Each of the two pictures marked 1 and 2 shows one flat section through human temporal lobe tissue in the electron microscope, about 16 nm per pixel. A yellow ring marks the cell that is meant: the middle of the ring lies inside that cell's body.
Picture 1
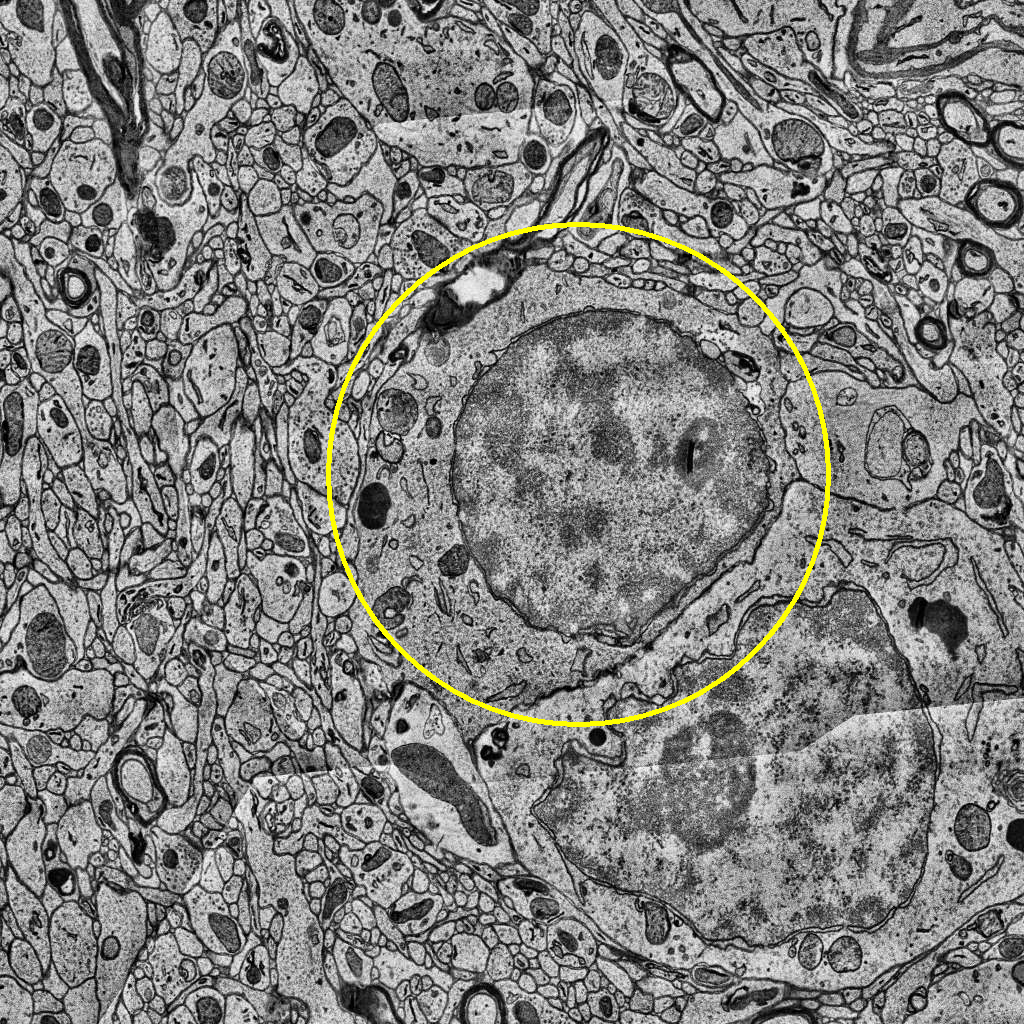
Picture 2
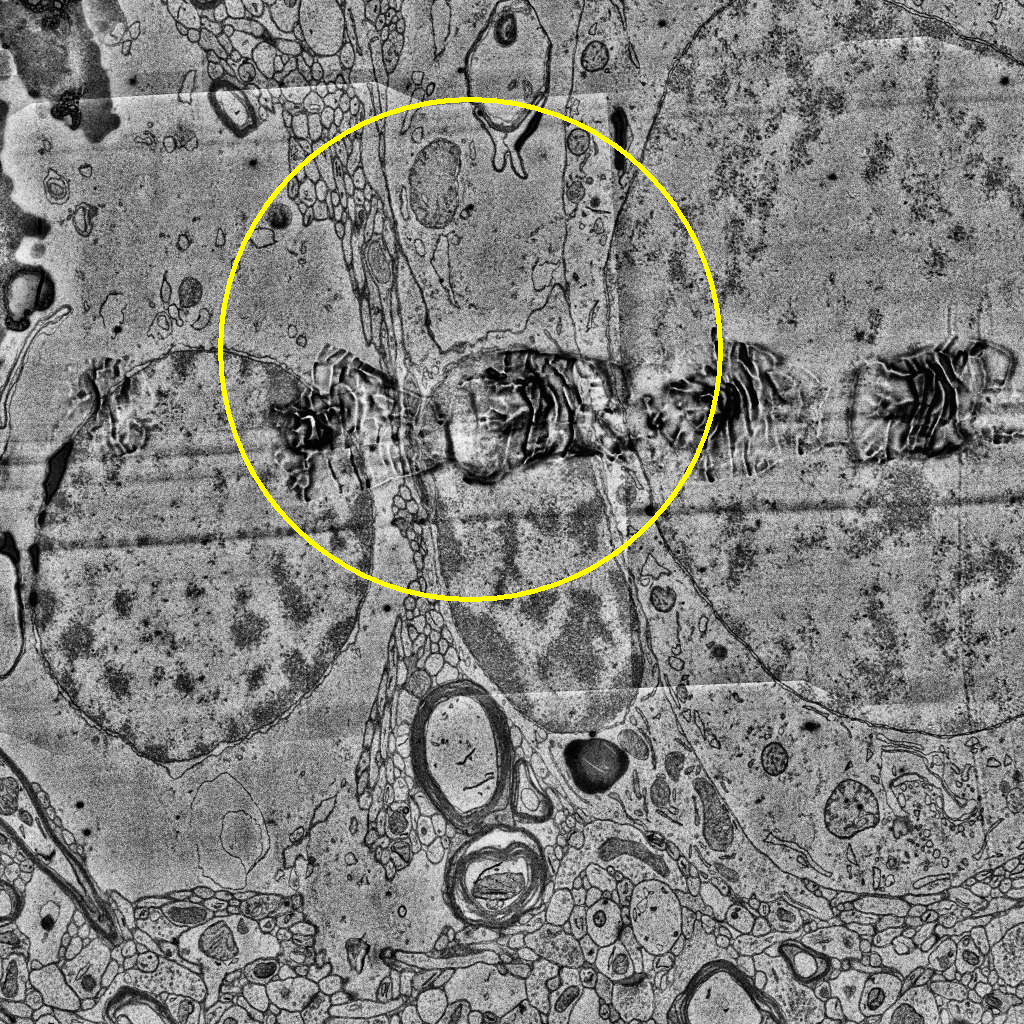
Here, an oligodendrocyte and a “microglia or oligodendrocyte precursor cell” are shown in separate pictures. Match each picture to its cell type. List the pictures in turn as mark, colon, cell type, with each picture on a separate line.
1: oligodendrocyte
2: microglia or oligodendrocyte precursor cell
